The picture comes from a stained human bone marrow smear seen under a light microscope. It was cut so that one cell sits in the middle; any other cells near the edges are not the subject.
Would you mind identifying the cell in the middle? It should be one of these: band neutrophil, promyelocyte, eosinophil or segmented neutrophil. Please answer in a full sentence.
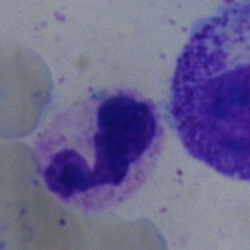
In this smear crop, the middle cell is a segmented neutrophil.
